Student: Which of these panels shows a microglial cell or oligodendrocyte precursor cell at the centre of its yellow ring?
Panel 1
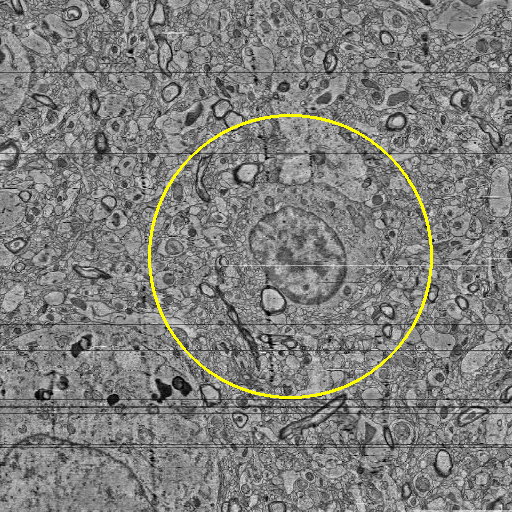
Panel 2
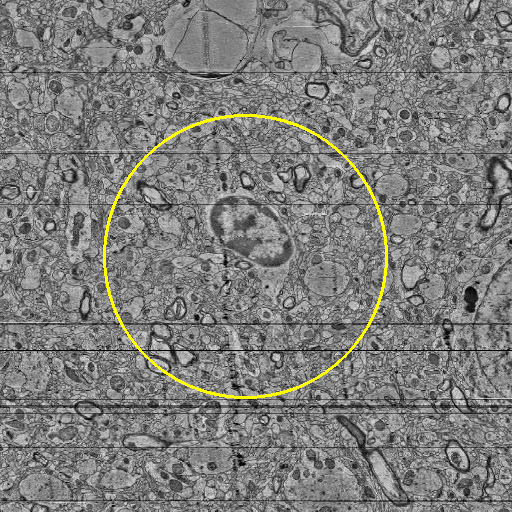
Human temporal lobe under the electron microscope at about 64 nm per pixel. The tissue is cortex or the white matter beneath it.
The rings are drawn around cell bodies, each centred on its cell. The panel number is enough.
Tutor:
2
